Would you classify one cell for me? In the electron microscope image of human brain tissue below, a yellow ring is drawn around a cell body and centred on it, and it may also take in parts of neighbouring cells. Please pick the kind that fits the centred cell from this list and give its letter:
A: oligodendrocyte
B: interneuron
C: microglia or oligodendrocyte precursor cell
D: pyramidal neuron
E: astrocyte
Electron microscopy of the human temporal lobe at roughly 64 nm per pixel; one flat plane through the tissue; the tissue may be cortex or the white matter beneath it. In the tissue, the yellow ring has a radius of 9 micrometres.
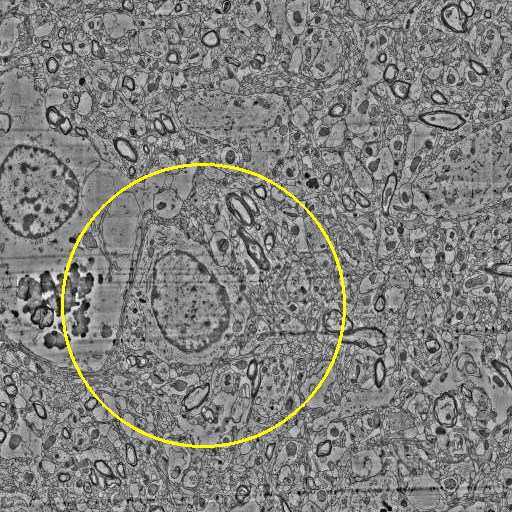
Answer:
C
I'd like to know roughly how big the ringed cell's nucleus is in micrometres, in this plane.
The nucleus of the ringed cell is approximately 7 by 5 micrometres in this plane.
